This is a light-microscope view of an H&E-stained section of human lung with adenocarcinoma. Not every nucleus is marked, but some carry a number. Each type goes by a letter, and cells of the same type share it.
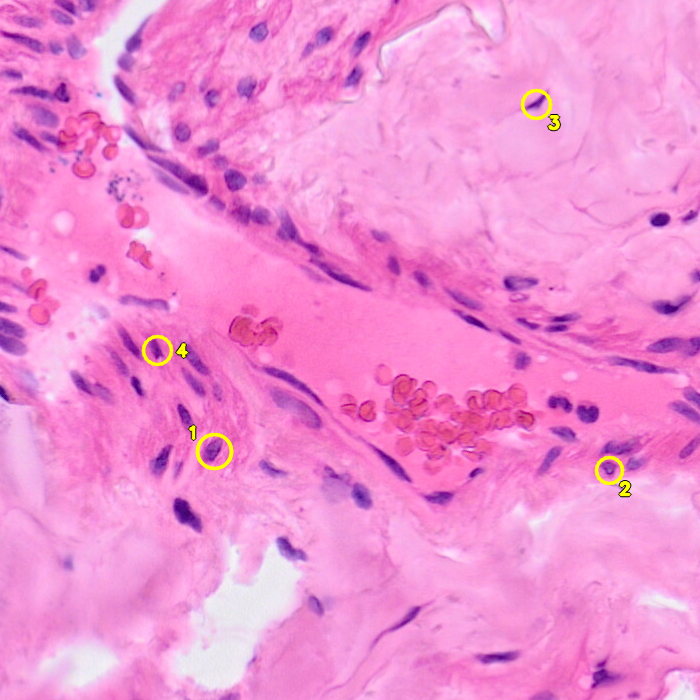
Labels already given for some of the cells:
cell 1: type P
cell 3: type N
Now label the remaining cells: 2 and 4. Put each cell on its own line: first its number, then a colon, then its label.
2: type P
4: type P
